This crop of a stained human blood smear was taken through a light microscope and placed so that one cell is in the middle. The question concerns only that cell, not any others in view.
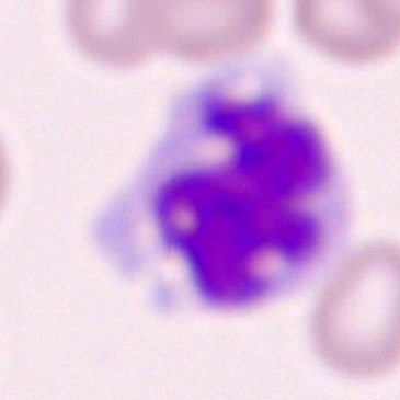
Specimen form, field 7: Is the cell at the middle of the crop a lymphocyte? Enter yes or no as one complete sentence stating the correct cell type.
No, the middle of this crop is occupied by a monocyte rather than a lymphocyte.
